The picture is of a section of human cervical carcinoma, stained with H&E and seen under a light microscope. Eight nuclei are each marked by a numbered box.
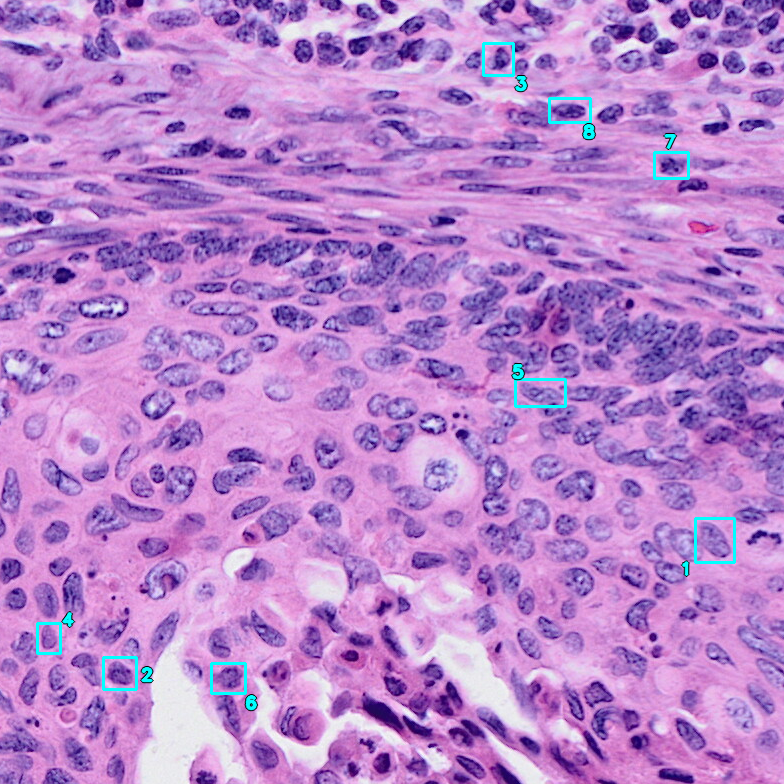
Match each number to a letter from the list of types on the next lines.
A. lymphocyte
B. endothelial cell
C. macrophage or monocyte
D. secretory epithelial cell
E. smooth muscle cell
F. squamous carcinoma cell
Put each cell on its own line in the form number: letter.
1: F
2: F
3: A
4: F
5: F
6: F
7: A
8: A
